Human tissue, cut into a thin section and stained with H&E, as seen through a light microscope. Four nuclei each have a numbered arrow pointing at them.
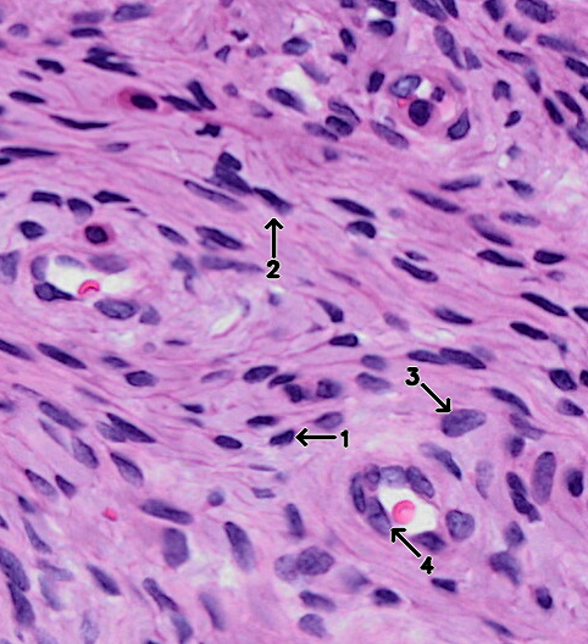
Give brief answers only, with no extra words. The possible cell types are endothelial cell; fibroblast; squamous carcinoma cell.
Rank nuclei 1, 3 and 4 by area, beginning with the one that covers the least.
1, 4, 3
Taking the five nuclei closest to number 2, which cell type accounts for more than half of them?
fibroblast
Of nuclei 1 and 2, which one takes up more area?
2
